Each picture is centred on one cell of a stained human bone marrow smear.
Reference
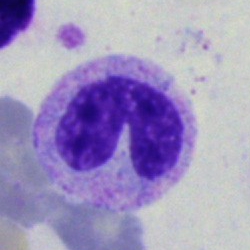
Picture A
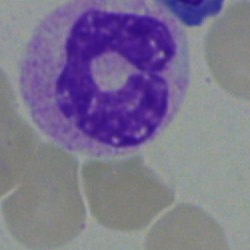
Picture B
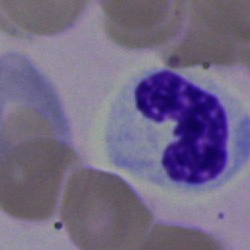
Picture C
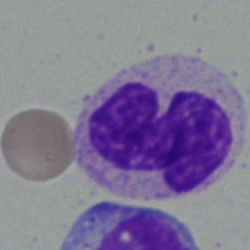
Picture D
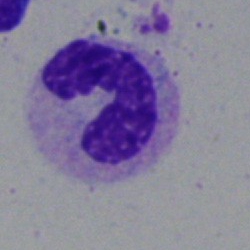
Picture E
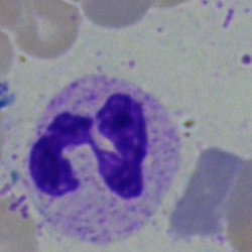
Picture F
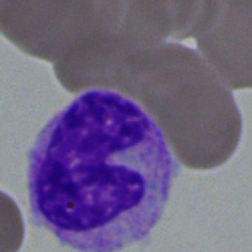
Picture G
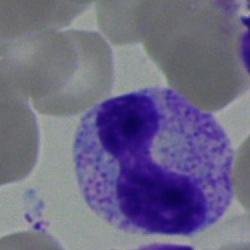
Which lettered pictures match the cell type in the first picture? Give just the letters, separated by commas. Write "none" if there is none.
C, F, G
